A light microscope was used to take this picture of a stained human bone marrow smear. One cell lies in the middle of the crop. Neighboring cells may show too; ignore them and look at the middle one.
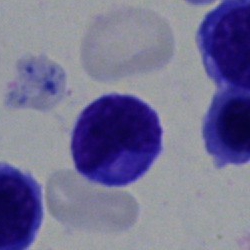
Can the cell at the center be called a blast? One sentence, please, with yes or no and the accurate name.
No, the centred cell is a lymphocyte instead of a blast.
